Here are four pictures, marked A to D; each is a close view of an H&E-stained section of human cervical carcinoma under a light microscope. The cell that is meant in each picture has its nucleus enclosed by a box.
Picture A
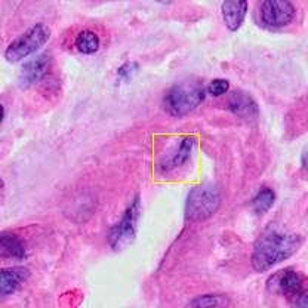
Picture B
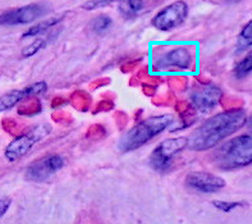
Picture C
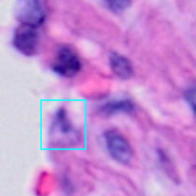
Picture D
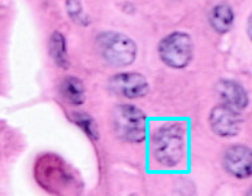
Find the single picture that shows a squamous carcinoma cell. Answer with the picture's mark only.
D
